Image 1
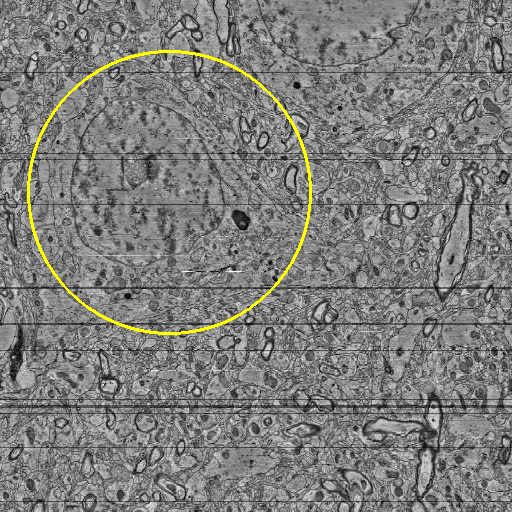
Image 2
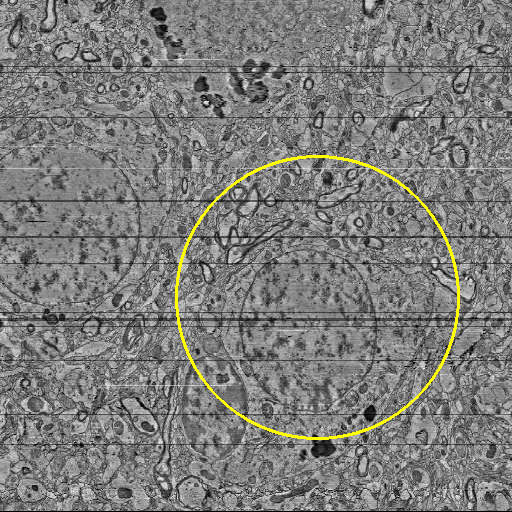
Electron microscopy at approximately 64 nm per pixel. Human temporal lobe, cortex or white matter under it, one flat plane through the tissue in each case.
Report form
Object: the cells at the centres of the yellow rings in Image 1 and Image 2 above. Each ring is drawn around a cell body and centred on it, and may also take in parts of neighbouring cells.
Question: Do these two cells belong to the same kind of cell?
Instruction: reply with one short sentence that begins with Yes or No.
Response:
Yes, both belong to the same kind of cell.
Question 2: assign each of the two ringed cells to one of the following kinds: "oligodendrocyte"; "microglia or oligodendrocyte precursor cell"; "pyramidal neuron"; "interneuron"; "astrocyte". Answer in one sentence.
The cell at the ring centre is a pyramidal neuron in both pictures.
